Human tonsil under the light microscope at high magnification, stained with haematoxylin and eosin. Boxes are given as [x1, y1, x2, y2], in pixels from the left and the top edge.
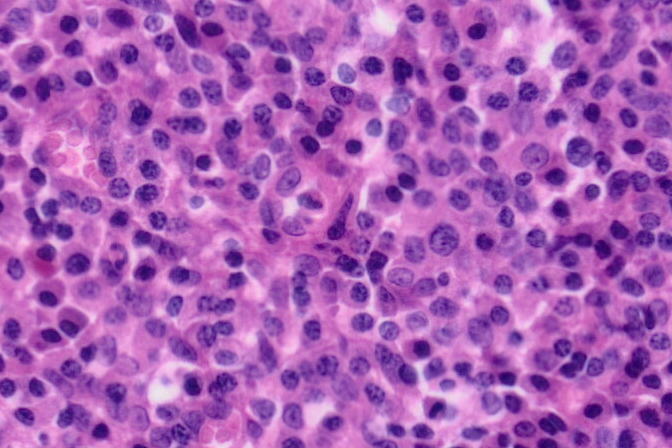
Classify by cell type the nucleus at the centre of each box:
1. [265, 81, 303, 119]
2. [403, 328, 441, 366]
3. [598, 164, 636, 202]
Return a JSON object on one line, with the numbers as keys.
{"1": "plasma cell", "2": "plasma cell", "3": "squamous epithelial cell"}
